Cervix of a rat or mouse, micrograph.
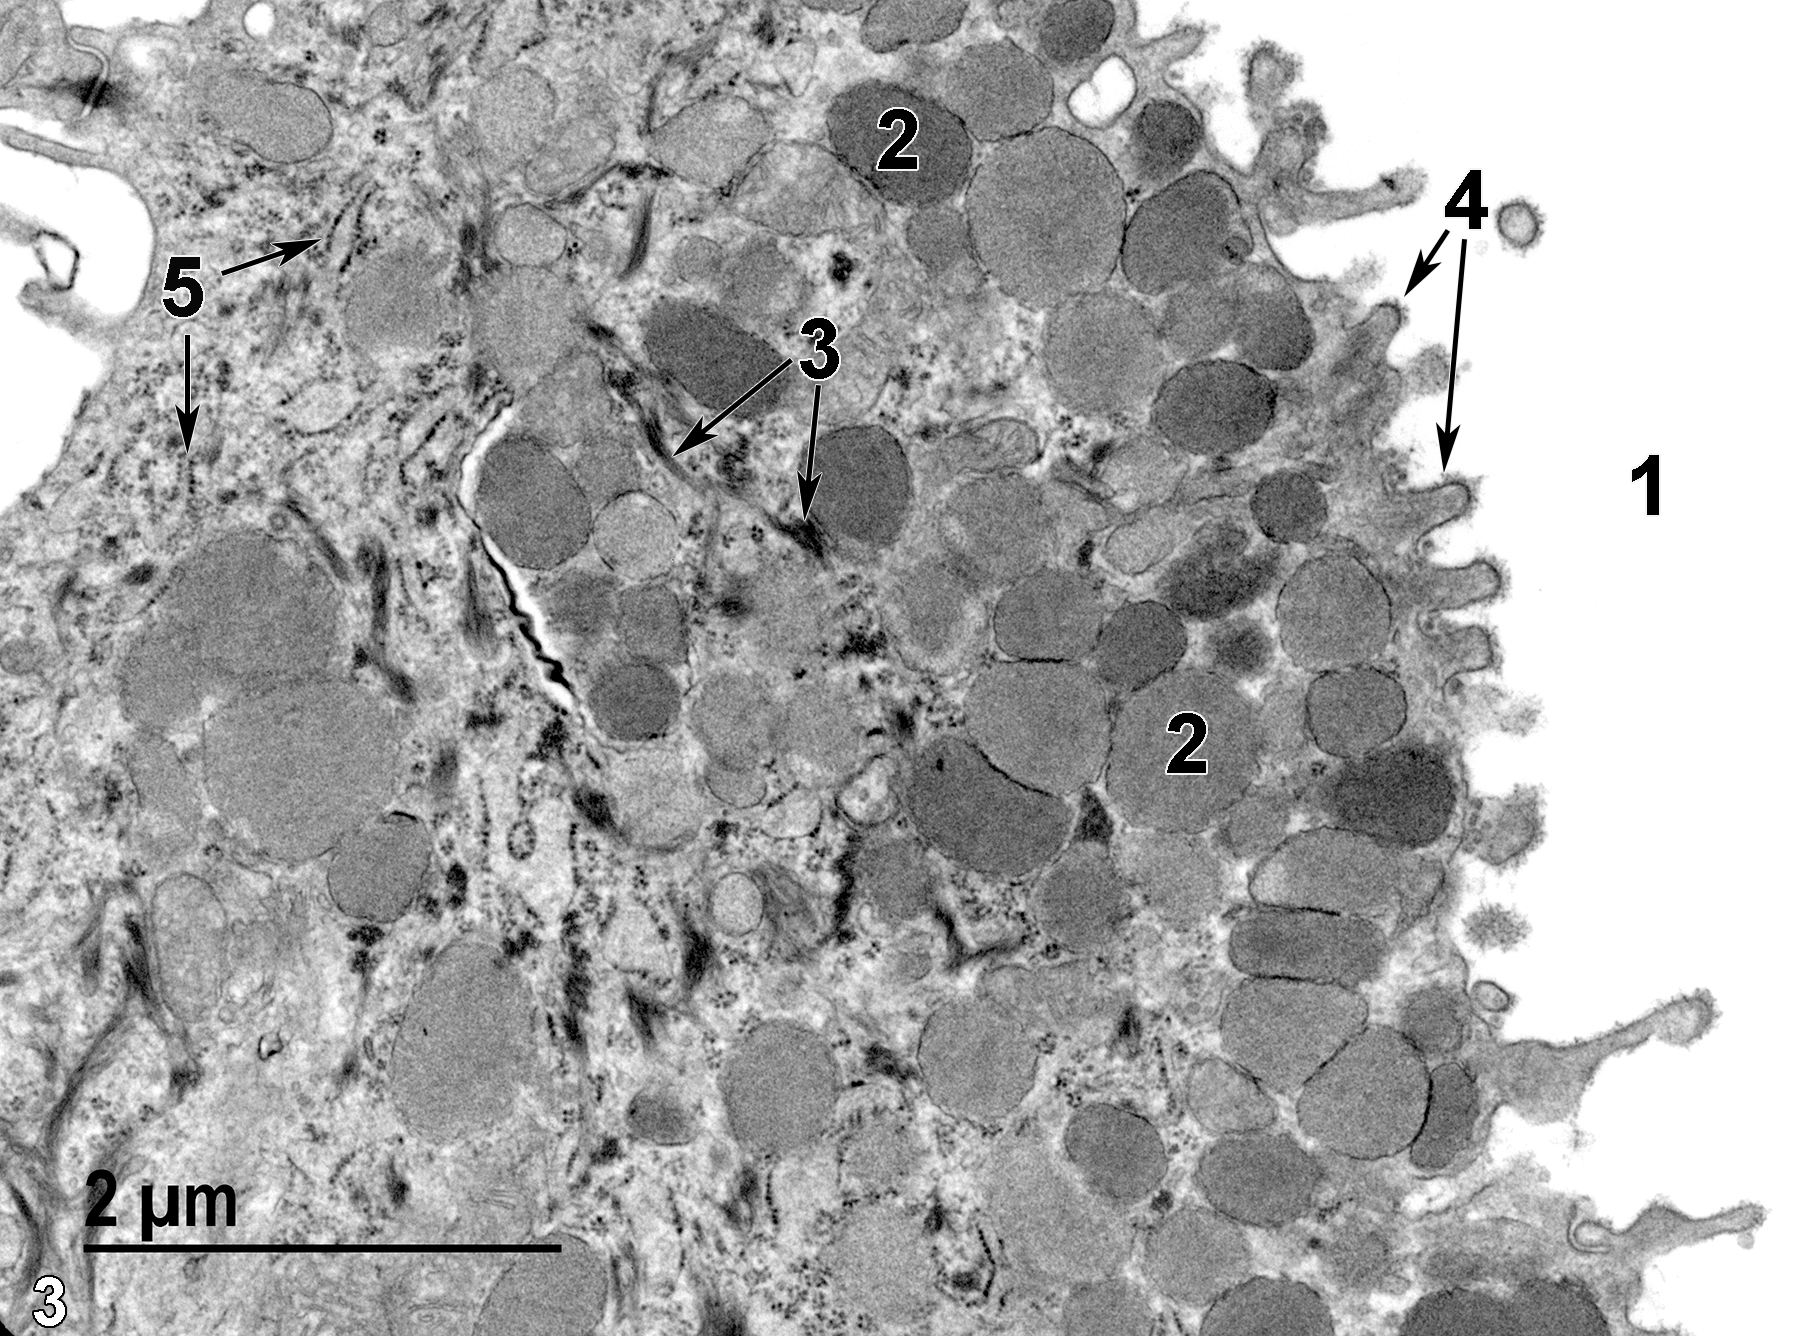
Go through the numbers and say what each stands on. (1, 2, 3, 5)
1. cervical lumen
2. mucigen granules
3. bundles of tonofilaments
5. rough endoplasmic reticulum elements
